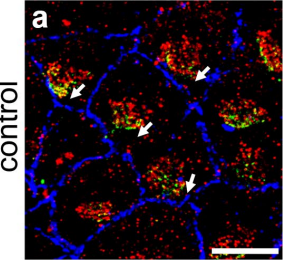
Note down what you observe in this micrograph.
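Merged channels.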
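This is an en face view of ependyma, a mosaic of polygonal cells whose borders are drawn by thin, beaded blue lines. Each cell contains a dense cluster of red dots, grouped into an oval patch displaced toward one side of the cell. Green puncta gather at one edge of each red patch, where they overlap to give yellow.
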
